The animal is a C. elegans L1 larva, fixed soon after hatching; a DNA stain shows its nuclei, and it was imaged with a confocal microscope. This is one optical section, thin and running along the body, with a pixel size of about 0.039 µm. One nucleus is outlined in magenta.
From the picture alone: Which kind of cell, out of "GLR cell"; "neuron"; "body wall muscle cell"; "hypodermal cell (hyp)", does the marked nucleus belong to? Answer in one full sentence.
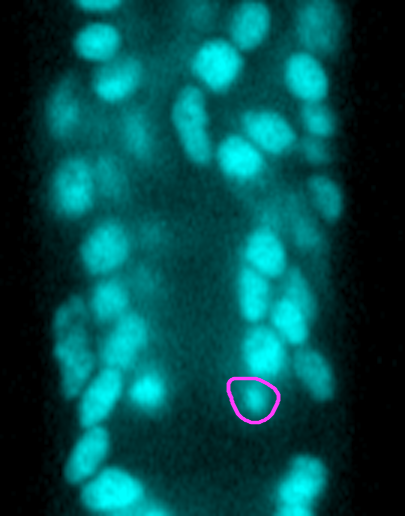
The marked cell is a GLR cell.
